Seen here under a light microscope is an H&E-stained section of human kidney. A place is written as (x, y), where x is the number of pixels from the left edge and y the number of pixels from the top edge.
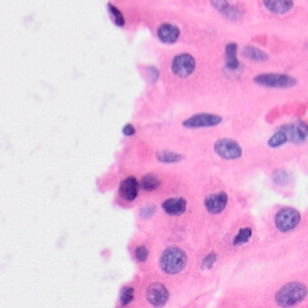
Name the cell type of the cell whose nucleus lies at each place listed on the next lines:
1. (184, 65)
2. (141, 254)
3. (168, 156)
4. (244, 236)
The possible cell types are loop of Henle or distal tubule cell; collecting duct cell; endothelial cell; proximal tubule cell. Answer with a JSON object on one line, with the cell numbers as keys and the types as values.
{"1": "loop of Henle or distal tubule cell", "2": "loop of Henle or distal tubule cell", "3": "endothelial cell", "4": "loop of Henle or distal tubule cell"}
